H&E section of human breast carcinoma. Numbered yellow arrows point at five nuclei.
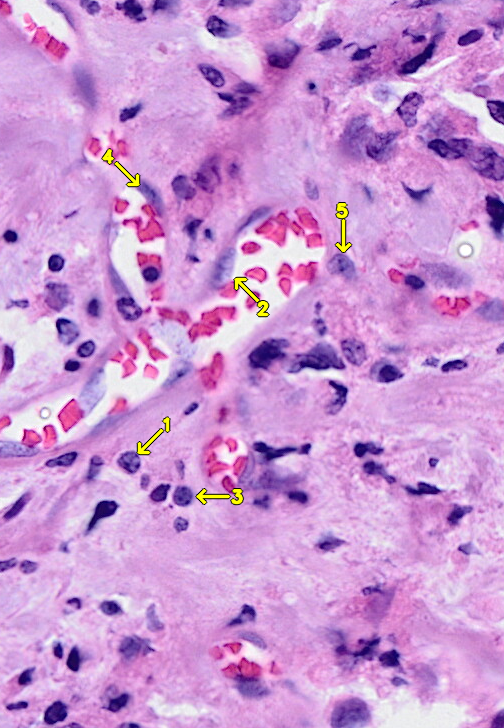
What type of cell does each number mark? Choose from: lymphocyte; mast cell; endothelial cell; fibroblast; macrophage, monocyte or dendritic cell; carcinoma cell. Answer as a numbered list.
1. lymphocyte
2. endothelial cell
3. lymphocyte
4. endothelial cell
5. endothelial cell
